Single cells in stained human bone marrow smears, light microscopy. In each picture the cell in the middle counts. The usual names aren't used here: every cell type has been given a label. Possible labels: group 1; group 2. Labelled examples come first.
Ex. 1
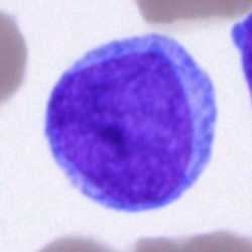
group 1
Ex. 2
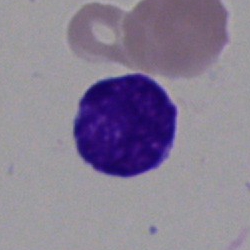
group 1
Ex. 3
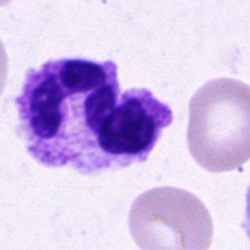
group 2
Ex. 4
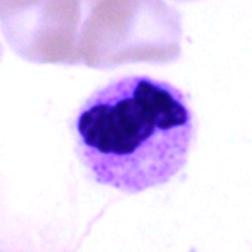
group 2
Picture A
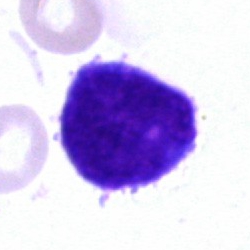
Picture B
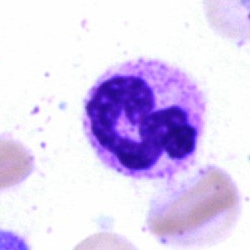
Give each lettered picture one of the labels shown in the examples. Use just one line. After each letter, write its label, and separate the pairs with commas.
A group 1, B group 2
